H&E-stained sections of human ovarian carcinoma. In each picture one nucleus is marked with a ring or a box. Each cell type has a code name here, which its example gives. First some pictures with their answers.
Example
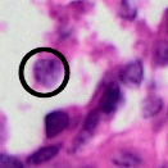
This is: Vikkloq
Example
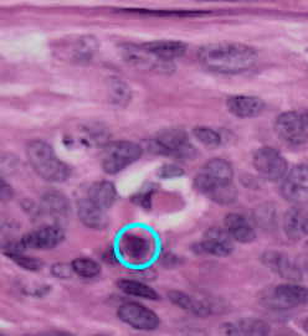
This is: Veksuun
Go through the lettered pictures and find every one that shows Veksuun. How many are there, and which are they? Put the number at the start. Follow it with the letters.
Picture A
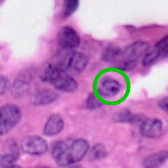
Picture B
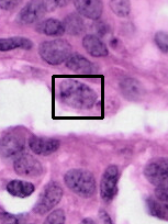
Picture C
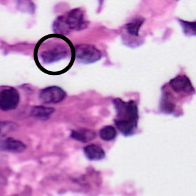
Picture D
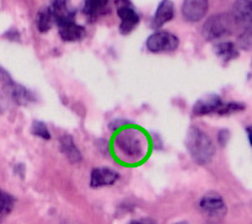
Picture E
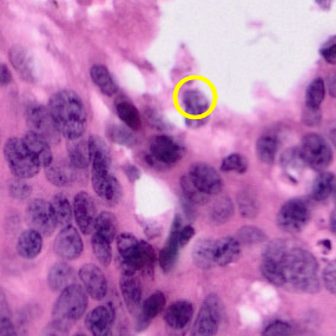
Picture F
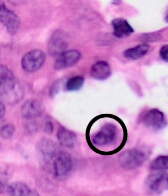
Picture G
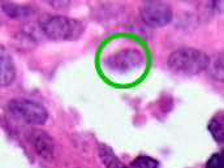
2: C, G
